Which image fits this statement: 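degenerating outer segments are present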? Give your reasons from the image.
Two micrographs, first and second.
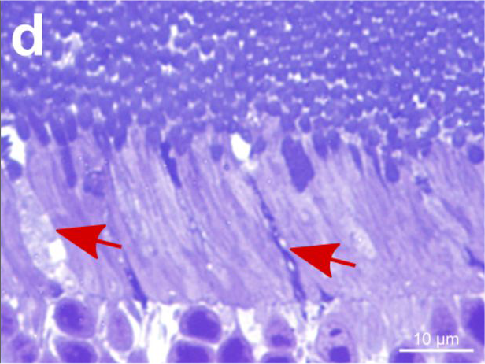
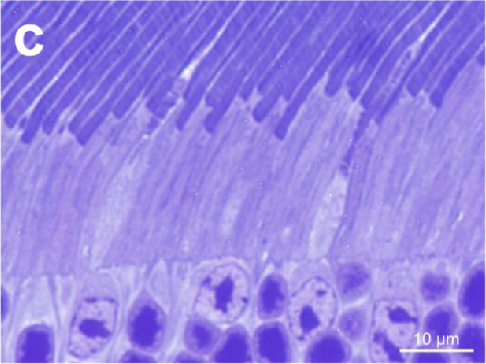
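First image: the segment layer is irregular, with dark streaks and pale vacuole-like gaps. Second image: the segments run in regular, parallel, evenly stained rows.
The first image.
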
